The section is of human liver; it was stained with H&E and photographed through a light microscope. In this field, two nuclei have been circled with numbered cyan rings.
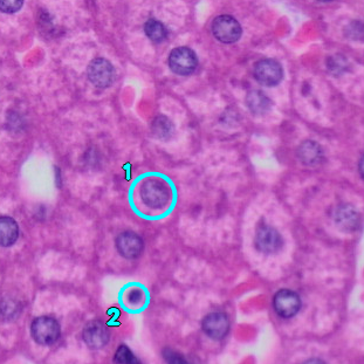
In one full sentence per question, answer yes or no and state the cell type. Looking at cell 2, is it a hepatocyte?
No, at number 2 sits a lymphocyte, not a hepatocyte.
